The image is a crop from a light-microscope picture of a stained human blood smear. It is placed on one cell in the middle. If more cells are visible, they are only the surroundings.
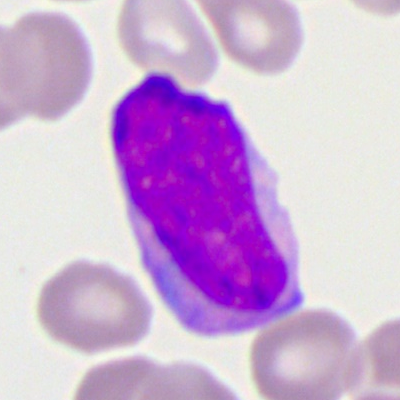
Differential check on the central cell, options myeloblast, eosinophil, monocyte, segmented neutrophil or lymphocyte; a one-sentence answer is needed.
The cell at the centre of the field is a myeloblast.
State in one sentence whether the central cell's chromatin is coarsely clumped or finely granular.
Thanks for asking; the chromatin is coarsely clumped.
